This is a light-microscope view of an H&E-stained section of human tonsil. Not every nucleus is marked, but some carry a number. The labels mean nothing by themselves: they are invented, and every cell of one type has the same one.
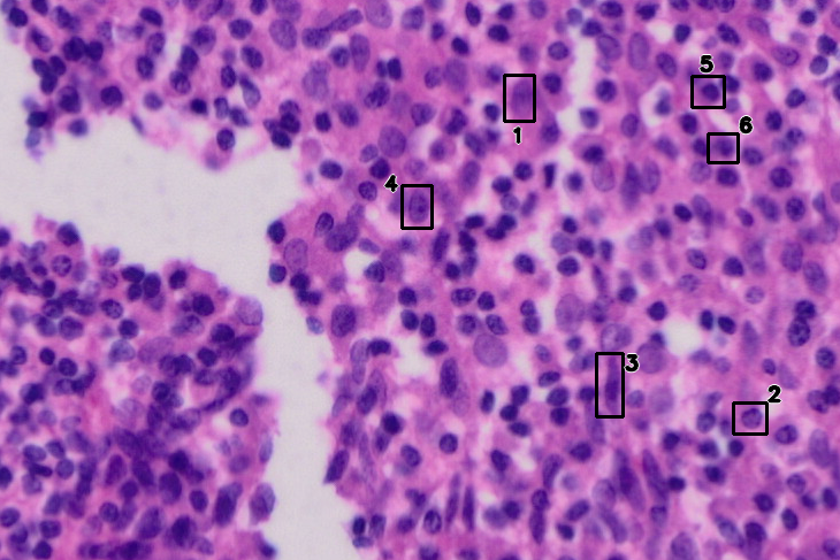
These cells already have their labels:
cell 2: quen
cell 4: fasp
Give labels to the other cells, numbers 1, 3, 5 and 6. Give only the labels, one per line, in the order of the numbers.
fasp
fasp
quen
quen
